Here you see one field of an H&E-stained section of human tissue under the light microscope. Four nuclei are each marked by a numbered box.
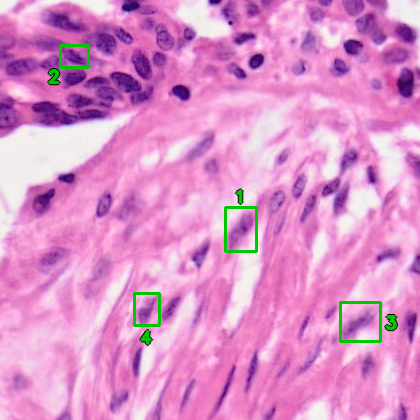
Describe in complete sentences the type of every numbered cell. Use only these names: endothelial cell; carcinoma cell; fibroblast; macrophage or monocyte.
Cell 1 is a fibroblast, cell 2 is a carcinoma cell, cell 3 is a fibroblast and cell 4 is a fibroblast.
